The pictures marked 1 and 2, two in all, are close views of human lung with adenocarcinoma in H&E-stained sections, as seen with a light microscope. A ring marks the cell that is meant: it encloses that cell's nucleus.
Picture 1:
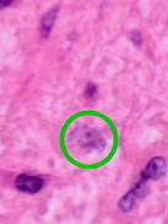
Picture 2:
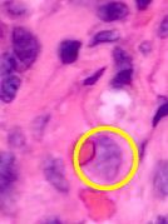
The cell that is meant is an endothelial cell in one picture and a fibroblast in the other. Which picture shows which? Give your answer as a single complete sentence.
It is picture 1 that shows a fibroblast, and picture 2 that shows an endothelial cell.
